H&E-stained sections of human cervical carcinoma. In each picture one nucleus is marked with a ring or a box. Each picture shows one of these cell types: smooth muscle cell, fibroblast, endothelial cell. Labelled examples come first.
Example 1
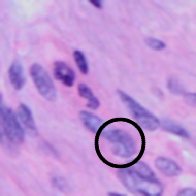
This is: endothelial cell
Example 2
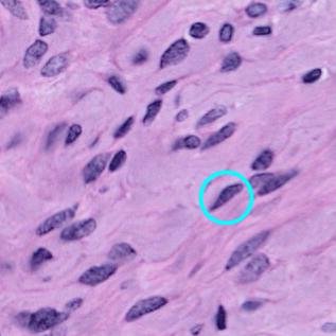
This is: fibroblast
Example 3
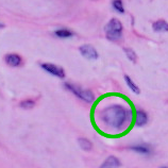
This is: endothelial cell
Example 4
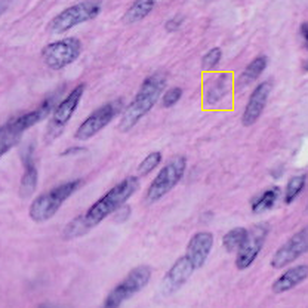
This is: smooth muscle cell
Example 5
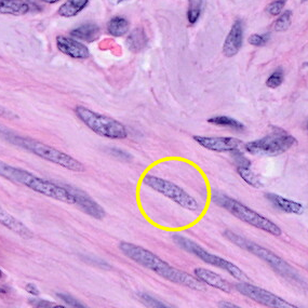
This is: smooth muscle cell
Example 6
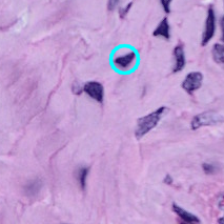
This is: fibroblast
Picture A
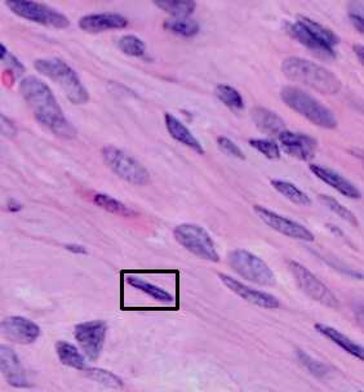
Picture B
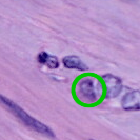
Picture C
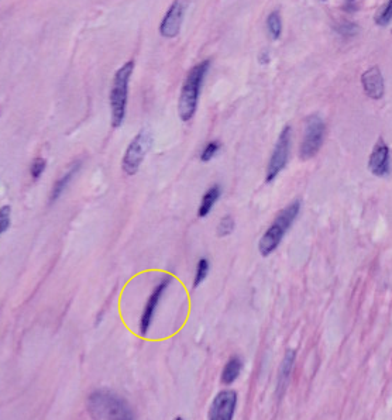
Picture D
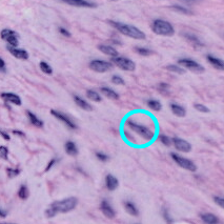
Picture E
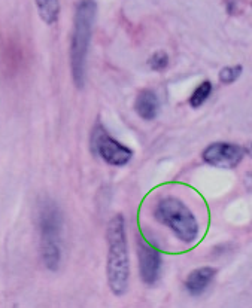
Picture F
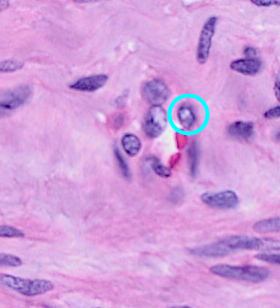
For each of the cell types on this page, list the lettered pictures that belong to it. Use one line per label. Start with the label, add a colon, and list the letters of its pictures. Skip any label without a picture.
smooth muscle cell: D
fibroblast: A, C
endothelial cell: B, E, F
